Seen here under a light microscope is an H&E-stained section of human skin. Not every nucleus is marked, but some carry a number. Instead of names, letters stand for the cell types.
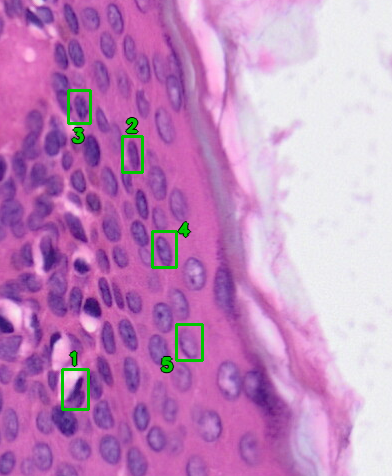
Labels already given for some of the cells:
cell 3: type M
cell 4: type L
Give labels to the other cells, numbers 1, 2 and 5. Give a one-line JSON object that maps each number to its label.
{"1": "type M", "2": "type L", "5": "type L"}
